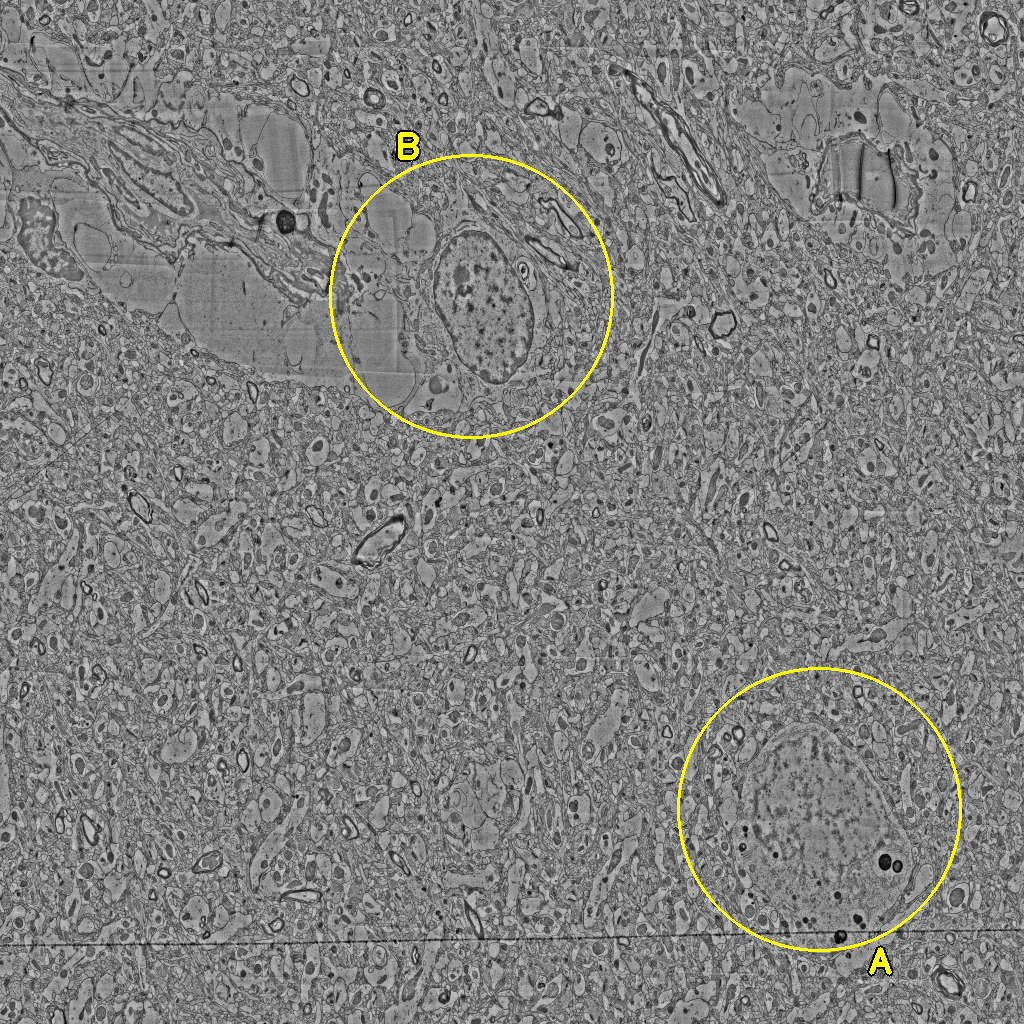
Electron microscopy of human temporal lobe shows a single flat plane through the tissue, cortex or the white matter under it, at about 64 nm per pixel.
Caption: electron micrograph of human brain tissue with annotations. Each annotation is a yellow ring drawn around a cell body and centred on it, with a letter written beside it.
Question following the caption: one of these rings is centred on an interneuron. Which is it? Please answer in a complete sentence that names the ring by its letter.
The ring with the letter A is centred on it.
